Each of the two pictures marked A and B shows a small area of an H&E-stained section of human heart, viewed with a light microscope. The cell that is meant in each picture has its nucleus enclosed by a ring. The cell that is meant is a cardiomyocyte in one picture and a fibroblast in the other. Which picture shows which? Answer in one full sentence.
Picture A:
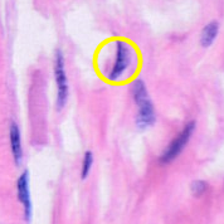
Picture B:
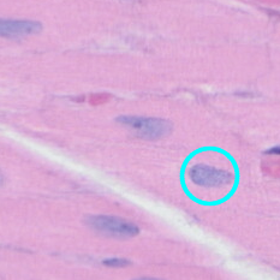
The cell in picture A is a fibroblast, and the one in picture B is a cardiomyocyte.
